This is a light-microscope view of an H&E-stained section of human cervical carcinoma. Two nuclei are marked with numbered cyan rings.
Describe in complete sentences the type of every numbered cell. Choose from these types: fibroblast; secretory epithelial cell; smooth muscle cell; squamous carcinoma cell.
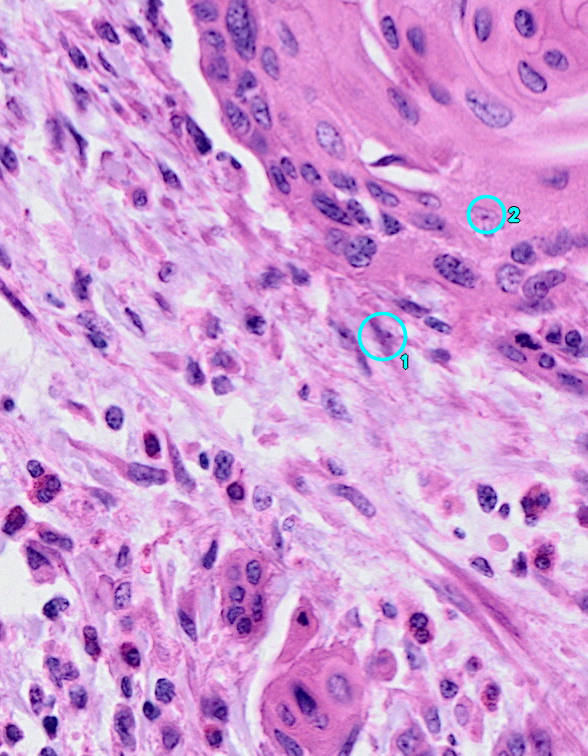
Cell 1 is a fibroblast. Cell 2 is a squamous carcinoma cell.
